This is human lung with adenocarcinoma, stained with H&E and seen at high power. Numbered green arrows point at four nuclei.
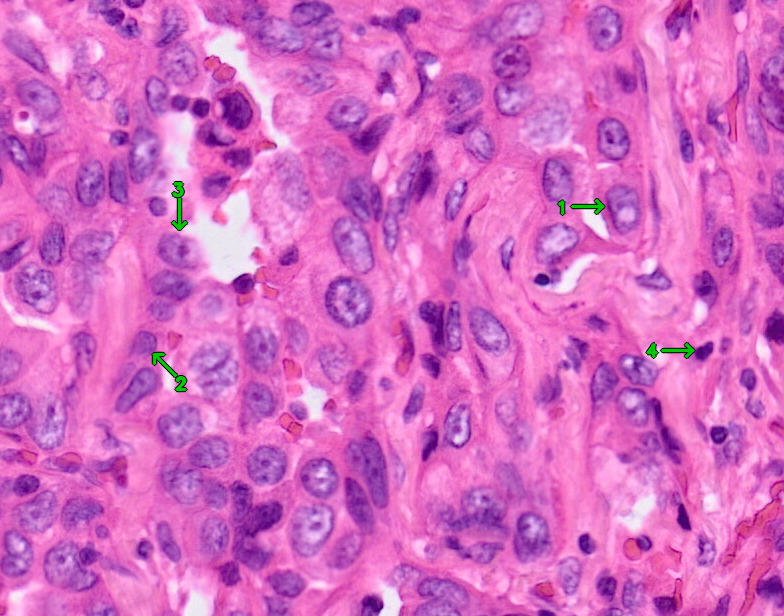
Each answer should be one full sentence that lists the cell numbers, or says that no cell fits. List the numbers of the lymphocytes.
Of the cells carrying numbers, just cell 4 is a lymphocyte.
